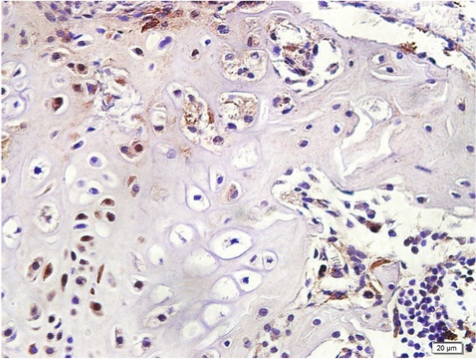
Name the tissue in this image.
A: Cartilage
